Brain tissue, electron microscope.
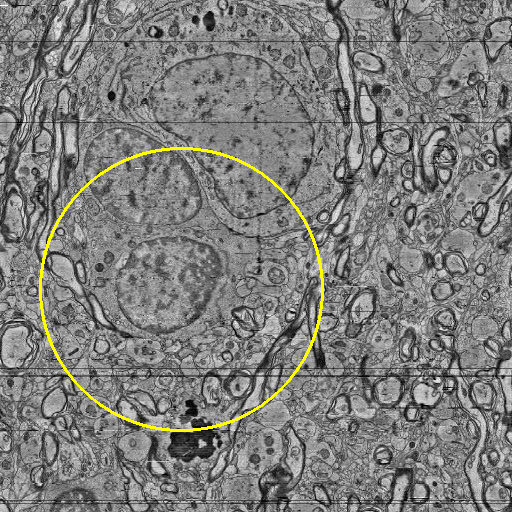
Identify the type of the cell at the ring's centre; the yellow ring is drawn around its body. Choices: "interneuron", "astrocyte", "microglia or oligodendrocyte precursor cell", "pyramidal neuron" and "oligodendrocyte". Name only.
oligodendrocyte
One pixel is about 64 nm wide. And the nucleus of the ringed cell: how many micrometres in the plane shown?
In this plane the nucleus measures roughly 7 by 6 micrometers.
